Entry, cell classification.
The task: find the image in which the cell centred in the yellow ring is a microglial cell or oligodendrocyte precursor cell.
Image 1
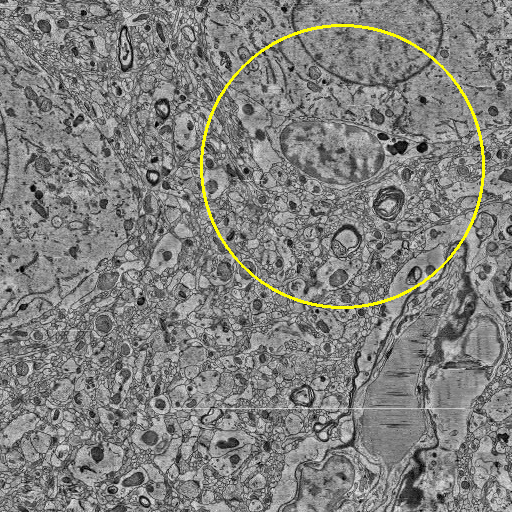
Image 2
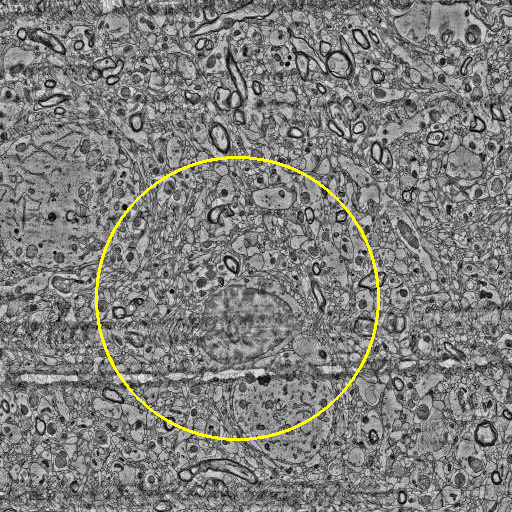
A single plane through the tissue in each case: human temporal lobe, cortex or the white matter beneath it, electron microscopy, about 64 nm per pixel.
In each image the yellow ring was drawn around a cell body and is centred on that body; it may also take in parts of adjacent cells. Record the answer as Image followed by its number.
Image 1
